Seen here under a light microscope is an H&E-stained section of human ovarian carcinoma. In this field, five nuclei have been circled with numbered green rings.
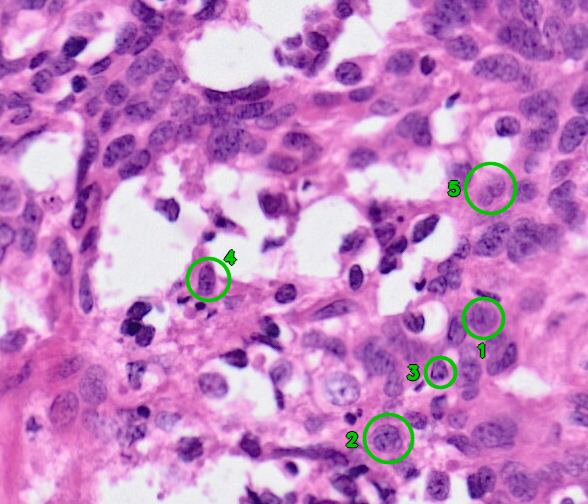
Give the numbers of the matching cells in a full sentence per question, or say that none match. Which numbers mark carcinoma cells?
Marked by the numbers 1, 2 and 5 are cells that are carcinoma cells.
